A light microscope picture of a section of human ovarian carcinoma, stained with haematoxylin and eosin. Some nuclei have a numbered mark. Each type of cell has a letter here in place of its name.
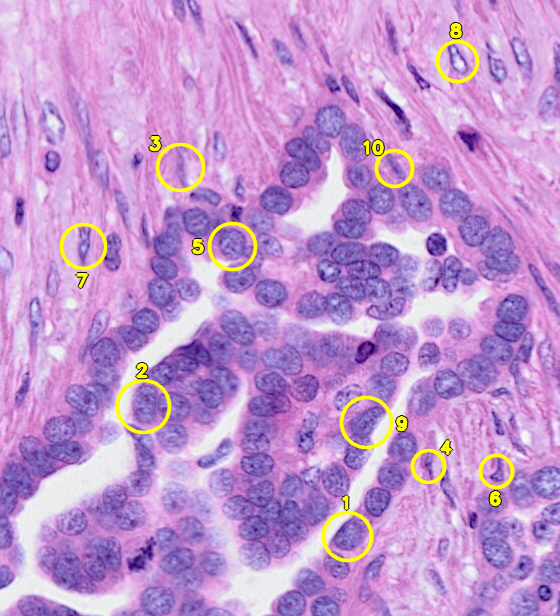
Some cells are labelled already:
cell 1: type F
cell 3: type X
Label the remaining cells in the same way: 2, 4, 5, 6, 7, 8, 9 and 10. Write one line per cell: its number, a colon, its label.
2: type F
4: type X
5: type F
6: type X
7: type X
8: type X
9: type F
10: type X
